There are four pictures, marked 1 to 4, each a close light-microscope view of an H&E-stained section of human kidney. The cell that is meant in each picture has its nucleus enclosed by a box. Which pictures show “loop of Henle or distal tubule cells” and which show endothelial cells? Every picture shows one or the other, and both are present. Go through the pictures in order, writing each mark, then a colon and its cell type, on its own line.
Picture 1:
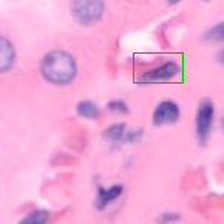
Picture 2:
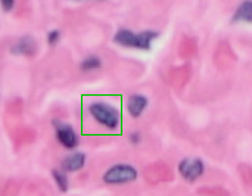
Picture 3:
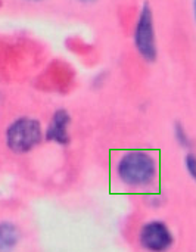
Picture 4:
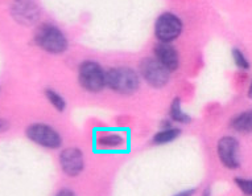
1: endothelial cell
2: endothelial cell
3: loop of Henle or distal tubule cell
4: endothelial cell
